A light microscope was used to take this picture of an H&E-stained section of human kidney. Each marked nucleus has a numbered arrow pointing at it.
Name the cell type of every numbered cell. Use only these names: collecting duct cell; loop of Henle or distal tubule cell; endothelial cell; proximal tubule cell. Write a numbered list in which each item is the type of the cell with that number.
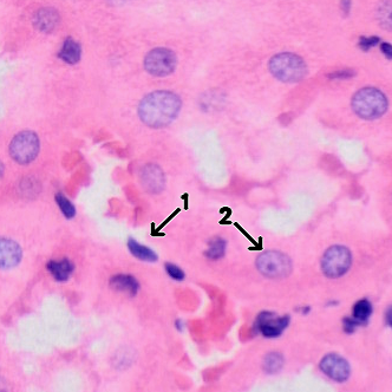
1. endothelial cell
2. proximal tubule cell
